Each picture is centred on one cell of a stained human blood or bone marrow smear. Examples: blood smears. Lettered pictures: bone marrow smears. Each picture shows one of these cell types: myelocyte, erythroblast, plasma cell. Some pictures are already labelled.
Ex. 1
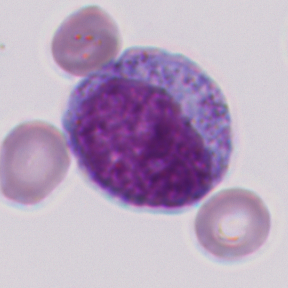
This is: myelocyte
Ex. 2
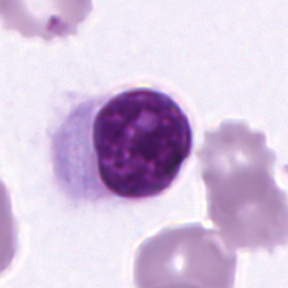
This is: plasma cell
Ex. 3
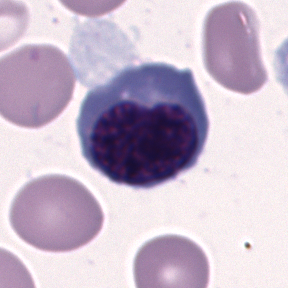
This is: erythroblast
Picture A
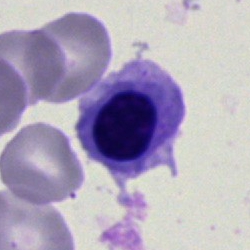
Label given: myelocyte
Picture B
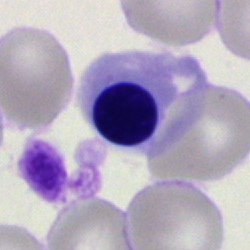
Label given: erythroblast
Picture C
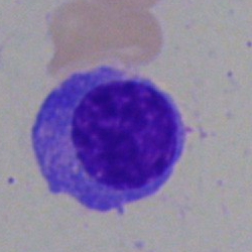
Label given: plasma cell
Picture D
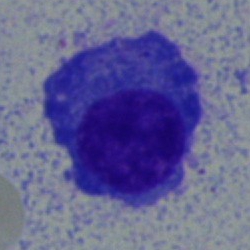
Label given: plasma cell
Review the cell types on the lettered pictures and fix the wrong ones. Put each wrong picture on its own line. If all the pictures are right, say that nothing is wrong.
A is labelled myelocyte; correct label: erythroblast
